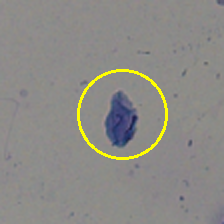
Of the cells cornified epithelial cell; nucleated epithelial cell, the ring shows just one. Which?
The ring shows a cornified epithelial cell.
